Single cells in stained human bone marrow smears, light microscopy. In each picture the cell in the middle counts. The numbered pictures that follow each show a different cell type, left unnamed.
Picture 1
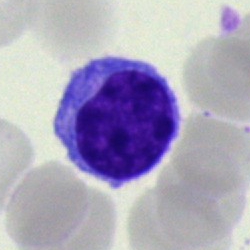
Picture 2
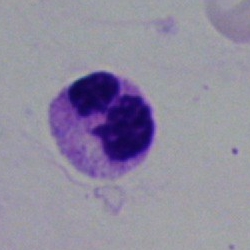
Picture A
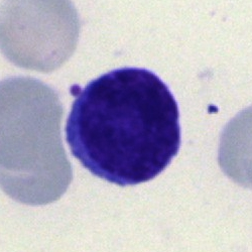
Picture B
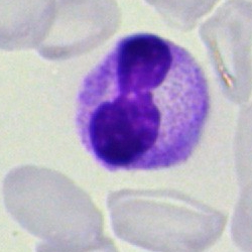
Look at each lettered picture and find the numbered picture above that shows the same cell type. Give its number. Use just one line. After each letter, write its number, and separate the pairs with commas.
A 1, B 2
